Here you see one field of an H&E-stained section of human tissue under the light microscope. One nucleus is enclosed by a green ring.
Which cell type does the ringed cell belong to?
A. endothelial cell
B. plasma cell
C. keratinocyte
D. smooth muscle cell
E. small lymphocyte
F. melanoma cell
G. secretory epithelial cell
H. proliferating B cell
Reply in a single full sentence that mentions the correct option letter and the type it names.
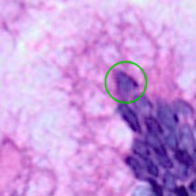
In the section, the ringed cell is a secretory epithelial cell, and option G is correct accordingly.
